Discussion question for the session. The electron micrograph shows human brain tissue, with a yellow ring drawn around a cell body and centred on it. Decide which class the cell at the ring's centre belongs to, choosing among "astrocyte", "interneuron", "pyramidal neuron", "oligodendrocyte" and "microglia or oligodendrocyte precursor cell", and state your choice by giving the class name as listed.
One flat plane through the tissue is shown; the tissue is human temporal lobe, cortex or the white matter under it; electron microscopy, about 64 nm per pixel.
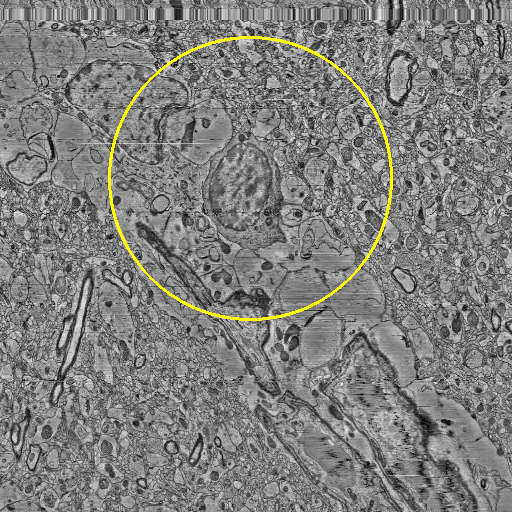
oligodendrocyte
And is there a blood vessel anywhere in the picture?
Yes, one is visible.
